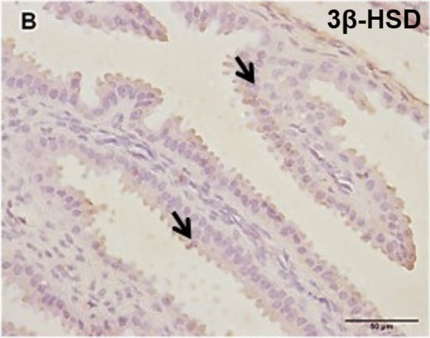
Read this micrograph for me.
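Long folded projections separated by clear spaces are covered by a single row of cuboidal epithelial cells with purple nuclei and a faint brown tinge in their cytoplasm. Their cores hold loose stroma with elongated nuclei.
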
